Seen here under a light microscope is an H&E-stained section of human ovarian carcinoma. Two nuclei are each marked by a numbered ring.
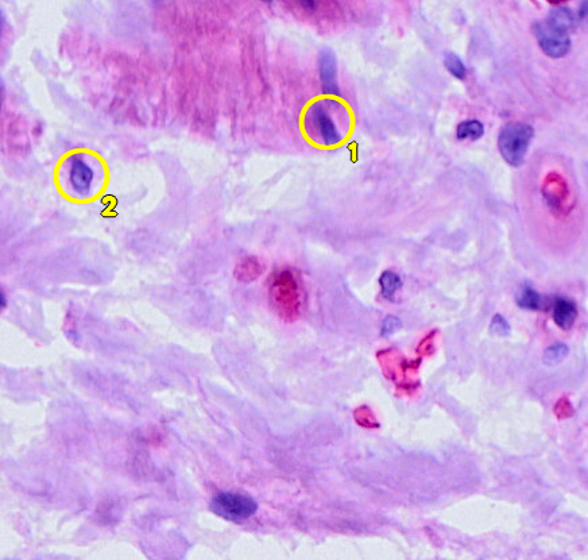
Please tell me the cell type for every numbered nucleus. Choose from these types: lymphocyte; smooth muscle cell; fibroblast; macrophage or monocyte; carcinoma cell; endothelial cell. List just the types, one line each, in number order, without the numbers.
smooth muscle cell
macrophage or monocyte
